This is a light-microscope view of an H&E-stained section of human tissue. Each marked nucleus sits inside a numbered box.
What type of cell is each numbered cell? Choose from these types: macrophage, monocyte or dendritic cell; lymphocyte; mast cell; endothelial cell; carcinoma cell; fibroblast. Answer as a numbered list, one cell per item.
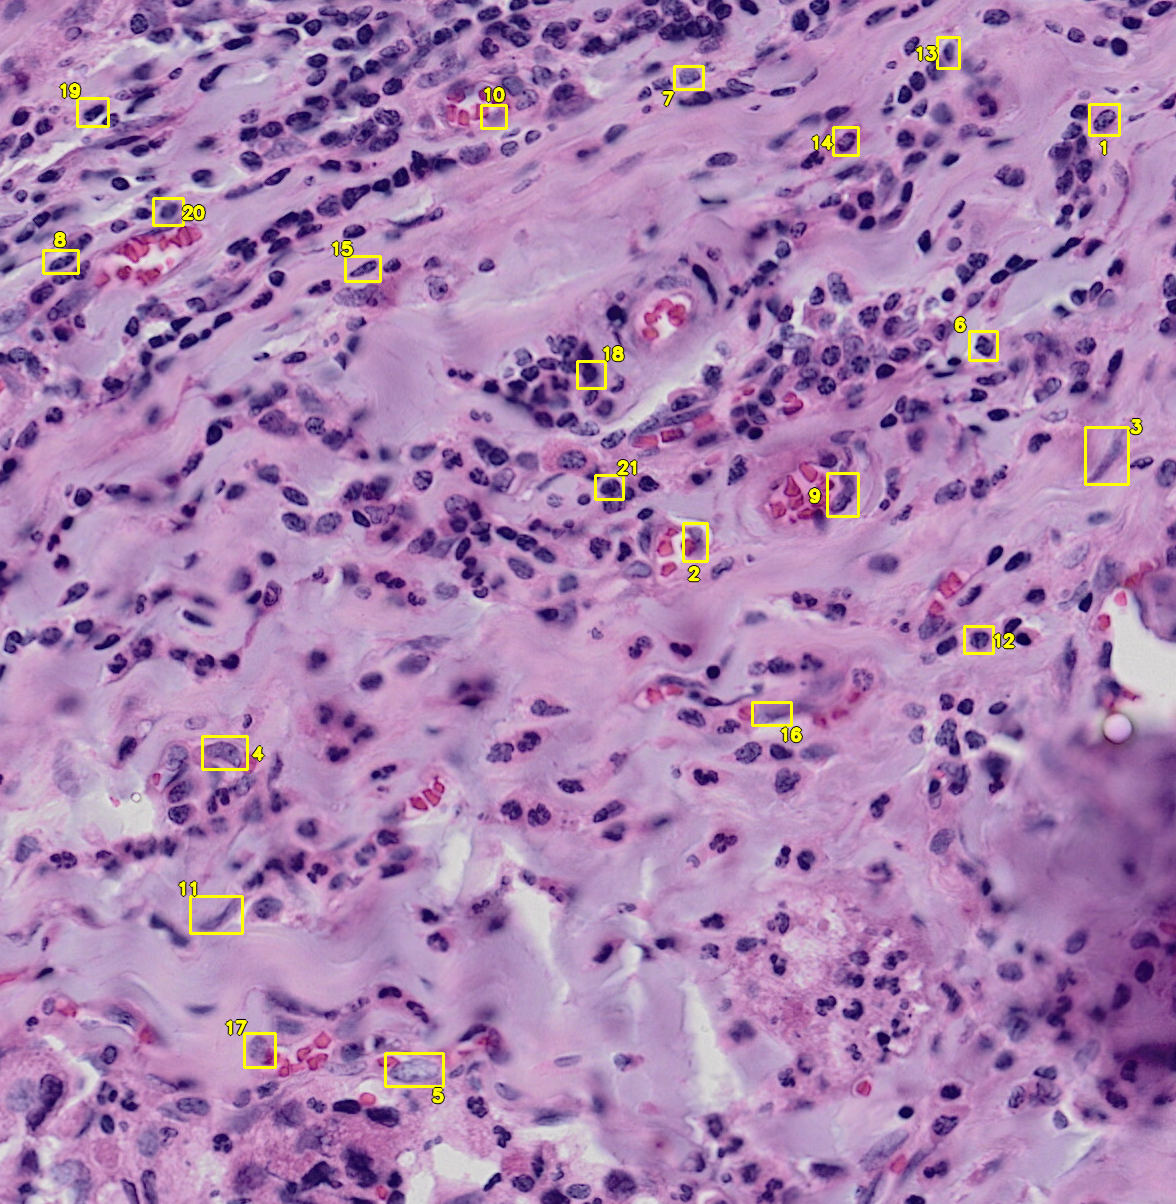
1. mast cell
2. endothelial cell
3. fibroblast
4. endothelial cell
5. endothelial cell
6. lymphocyte
7. lymphocyte
8. lymphocyte
9. endothelial cell
10. endothelial cell
11. fibroblast
12. mast cell
13. lymphocyte
14. mast cell
15. lymphocyte
16. endothelial cell
17. endothelial cell
18. lymphocyte
19. lymphocyte
20. lymphocyte
21. lymphocyte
